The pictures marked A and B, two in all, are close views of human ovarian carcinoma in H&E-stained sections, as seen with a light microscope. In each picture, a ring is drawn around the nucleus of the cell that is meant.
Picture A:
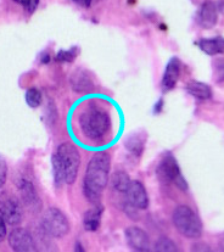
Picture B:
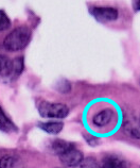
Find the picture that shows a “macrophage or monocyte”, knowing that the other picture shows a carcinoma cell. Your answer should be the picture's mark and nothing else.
B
